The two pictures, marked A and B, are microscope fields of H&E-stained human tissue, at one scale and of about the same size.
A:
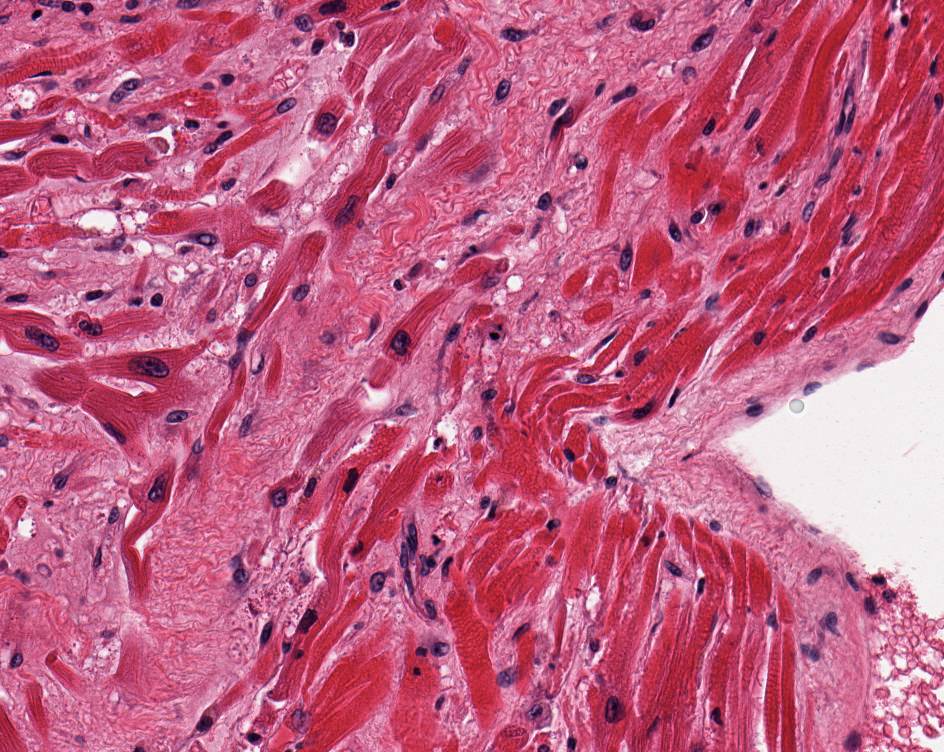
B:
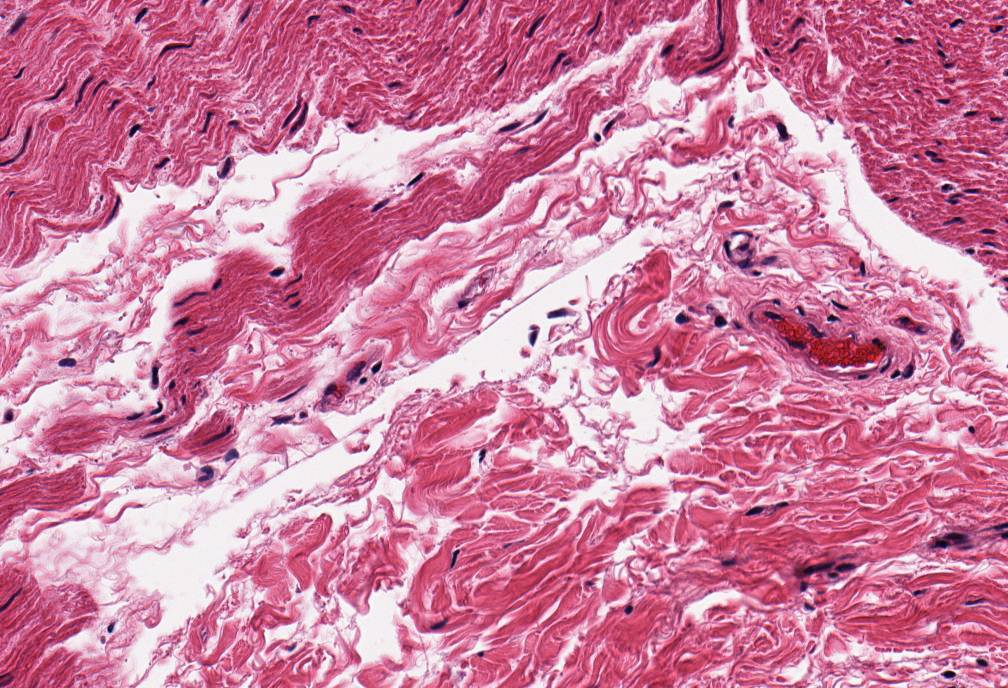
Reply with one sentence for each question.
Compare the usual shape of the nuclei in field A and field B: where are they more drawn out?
It is field B whose nuclei are the more elongated.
